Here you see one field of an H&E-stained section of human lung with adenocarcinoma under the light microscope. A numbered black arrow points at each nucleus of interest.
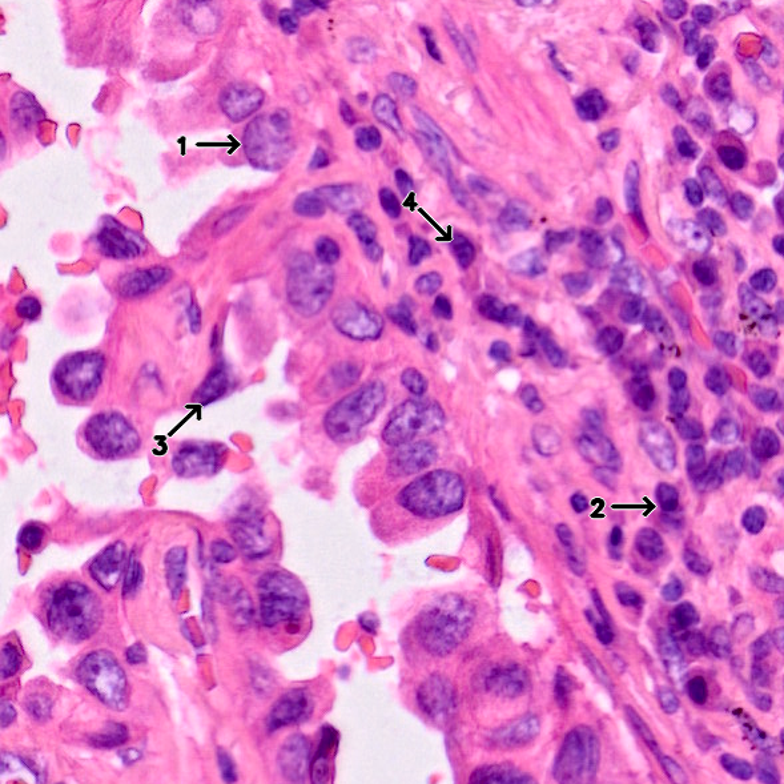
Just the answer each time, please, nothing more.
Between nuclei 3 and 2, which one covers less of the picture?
2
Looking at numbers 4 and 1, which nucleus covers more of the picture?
1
